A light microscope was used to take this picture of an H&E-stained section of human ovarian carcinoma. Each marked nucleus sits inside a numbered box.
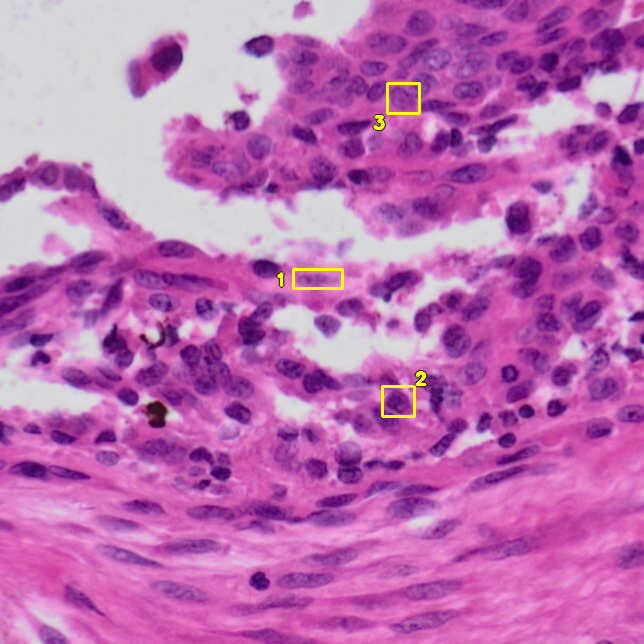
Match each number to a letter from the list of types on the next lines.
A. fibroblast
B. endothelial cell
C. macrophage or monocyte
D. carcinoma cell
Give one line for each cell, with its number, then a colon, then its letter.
1: C
2: D
3: D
